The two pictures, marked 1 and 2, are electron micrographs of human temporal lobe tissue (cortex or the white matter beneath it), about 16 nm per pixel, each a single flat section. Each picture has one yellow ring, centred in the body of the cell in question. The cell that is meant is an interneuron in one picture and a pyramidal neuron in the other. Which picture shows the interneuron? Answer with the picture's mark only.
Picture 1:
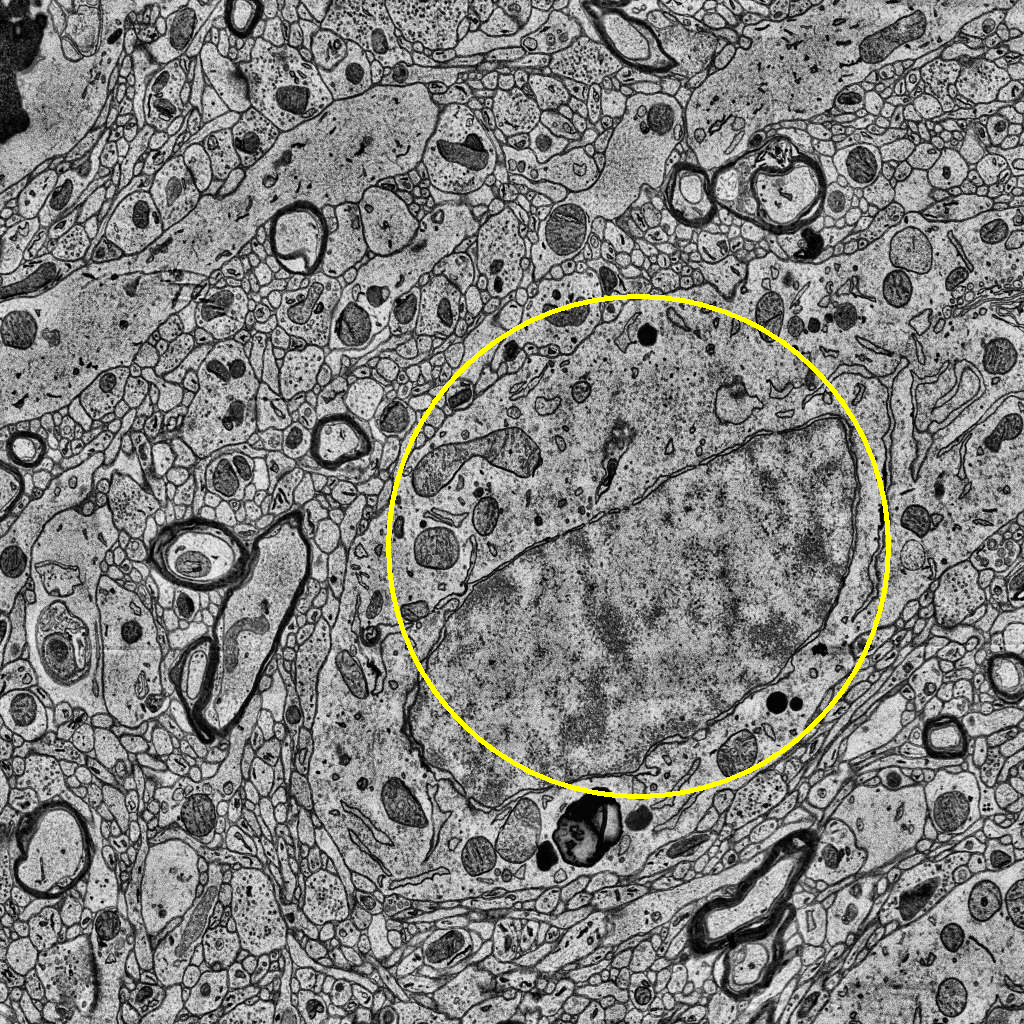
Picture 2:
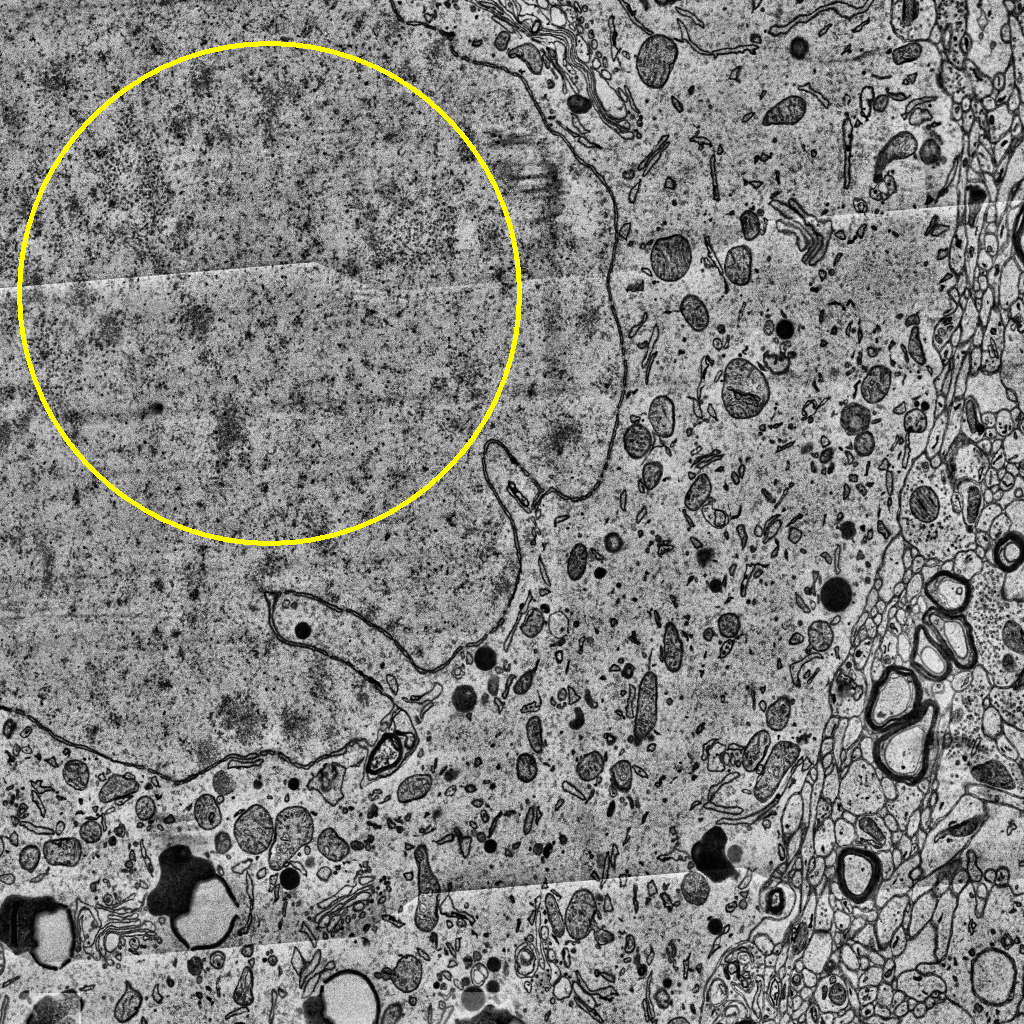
1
